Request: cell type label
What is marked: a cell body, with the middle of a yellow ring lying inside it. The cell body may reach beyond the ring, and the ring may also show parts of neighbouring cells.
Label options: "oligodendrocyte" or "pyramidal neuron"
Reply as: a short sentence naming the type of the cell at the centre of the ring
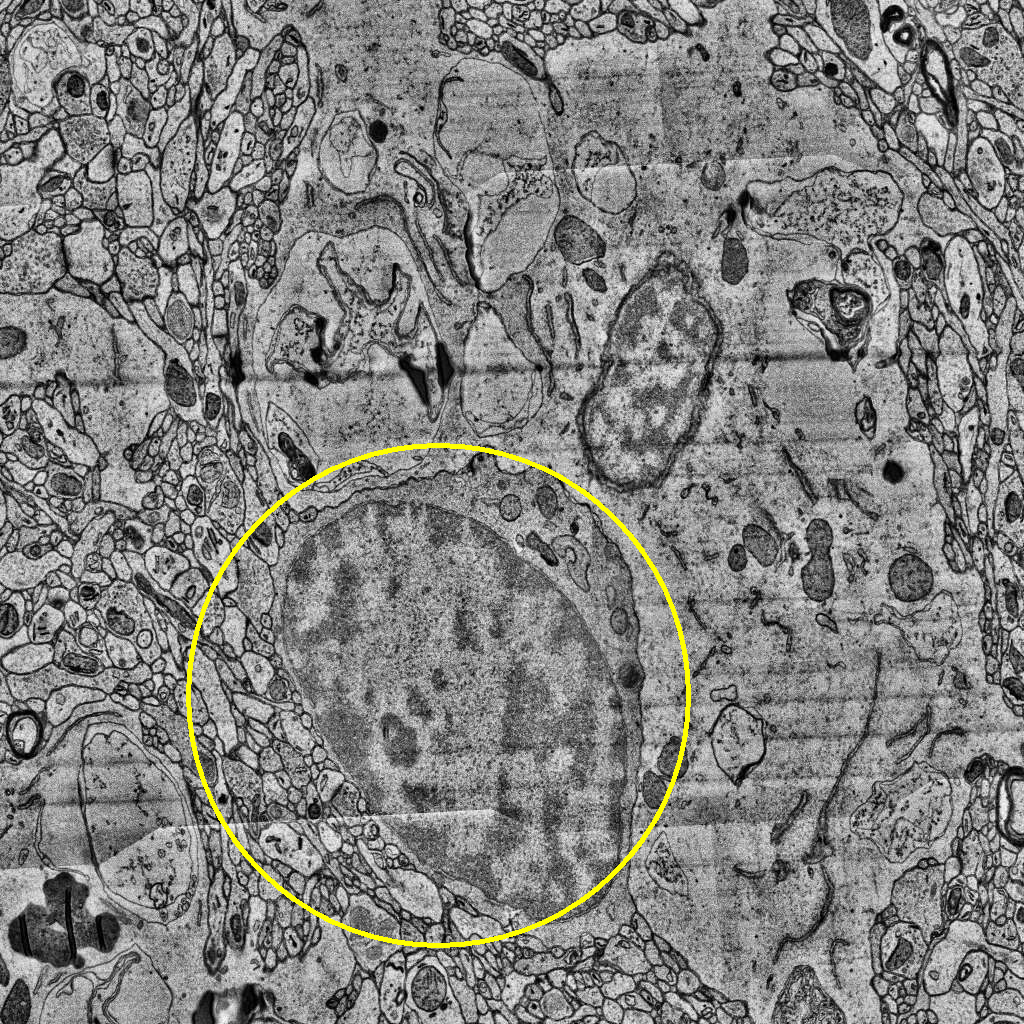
The marked cell body is that of an oligodendrocyte.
